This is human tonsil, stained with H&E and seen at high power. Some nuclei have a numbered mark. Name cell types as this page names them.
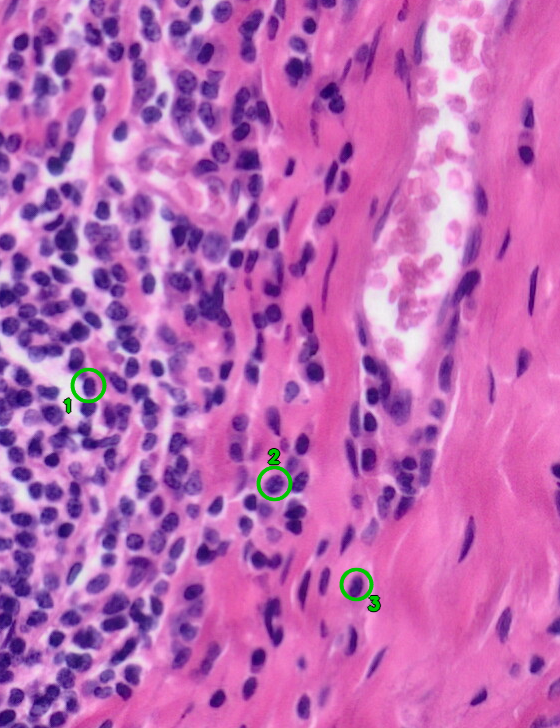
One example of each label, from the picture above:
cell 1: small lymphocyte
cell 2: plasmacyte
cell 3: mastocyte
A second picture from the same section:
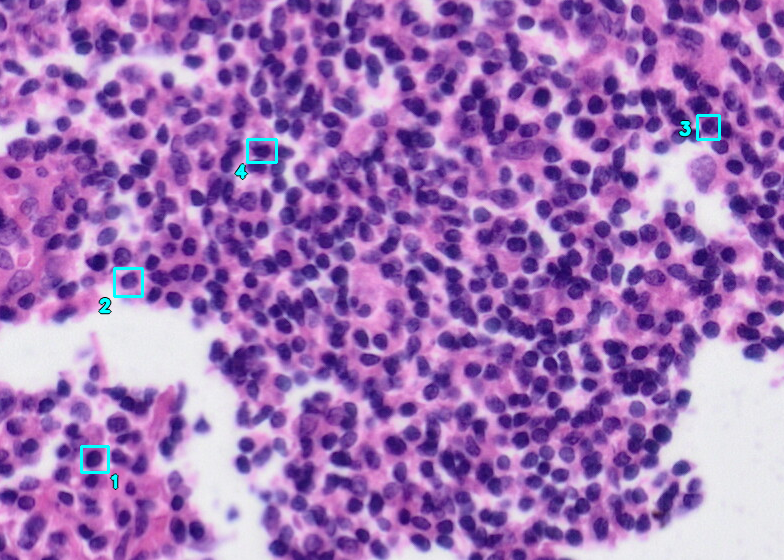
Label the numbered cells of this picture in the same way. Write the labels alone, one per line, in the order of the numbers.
plasmacyte
small lymphocyte
small lymphocyte
small lymphocyte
